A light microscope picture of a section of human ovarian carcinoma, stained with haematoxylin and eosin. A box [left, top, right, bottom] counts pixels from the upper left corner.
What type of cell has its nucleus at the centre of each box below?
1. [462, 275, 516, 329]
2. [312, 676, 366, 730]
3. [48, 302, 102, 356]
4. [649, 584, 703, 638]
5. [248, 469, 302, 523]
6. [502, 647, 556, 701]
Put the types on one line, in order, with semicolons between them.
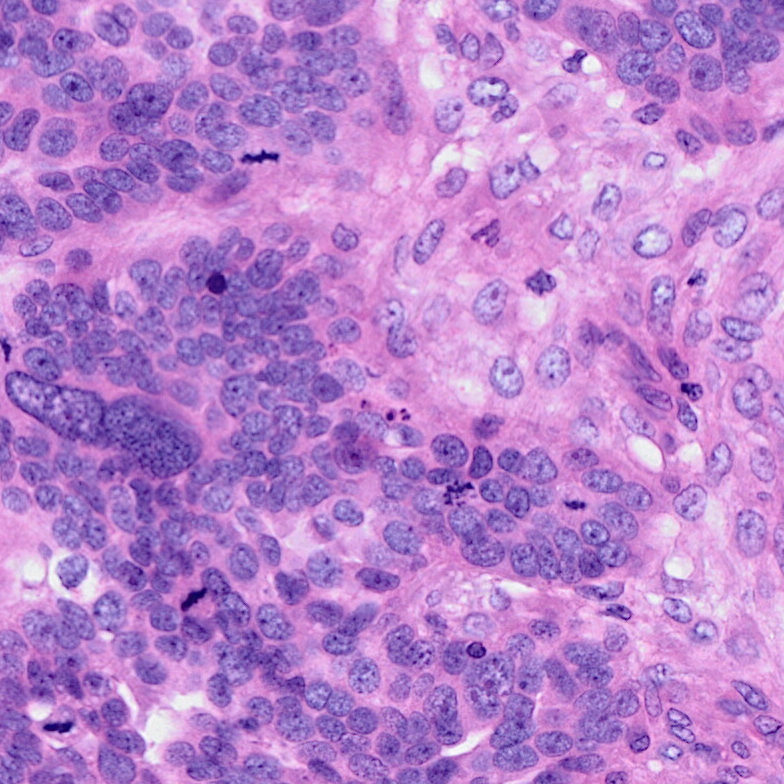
fibroblast; carcinoma cell; carcinoma cell; fibroblast; carcinoma cell; carcinoma cell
